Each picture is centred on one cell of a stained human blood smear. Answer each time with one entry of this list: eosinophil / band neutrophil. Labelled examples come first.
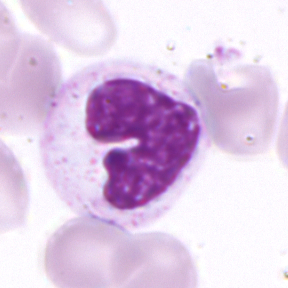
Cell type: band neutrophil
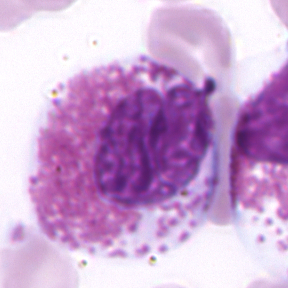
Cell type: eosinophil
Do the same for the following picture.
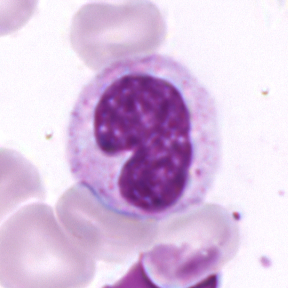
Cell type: band neutrophil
